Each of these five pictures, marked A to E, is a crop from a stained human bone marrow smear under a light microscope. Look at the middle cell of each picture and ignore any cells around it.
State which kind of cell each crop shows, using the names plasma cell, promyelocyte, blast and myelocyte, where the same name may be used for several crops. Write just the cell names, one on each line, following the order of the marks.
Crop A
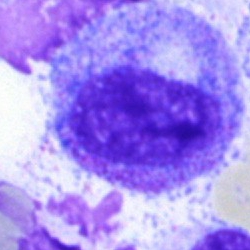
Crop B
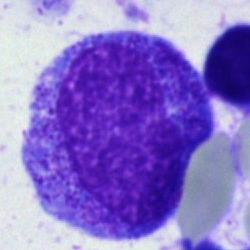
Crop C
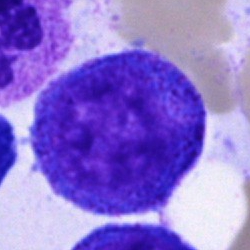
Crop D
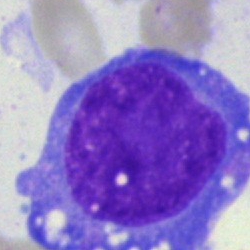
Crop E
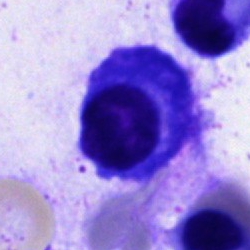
myelocyte
promyelocyte
promyelocyte
blast
plasma cell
